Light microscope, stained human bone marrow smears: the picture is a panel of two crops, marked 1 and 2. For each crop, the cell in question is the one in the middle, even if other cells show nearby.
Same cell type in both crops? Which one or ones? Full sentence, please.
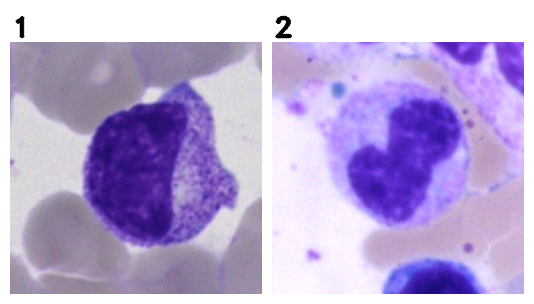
No, a myelocyte occupies the middle of crop 1, and a monocyte the middle of crop 2.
